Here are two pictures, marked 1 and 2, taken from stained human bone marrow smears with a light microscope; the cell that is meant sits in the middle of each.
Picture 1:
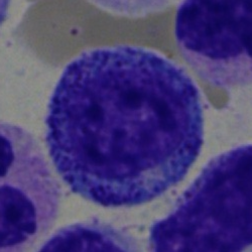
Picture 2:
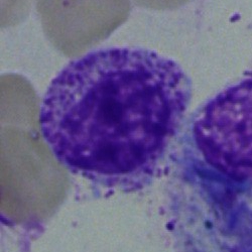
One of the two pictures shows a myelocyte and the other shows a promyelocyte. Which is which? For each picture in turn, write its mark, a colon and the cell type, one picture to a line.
1: promyelocyte
2: myelocyte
